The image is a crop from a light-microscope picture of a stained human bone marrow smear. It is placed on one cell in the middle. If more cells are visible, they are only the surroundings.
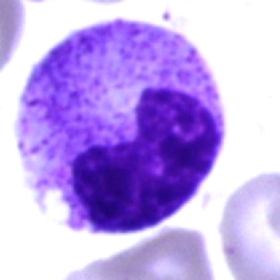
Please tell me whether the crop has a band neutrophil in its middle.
yes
